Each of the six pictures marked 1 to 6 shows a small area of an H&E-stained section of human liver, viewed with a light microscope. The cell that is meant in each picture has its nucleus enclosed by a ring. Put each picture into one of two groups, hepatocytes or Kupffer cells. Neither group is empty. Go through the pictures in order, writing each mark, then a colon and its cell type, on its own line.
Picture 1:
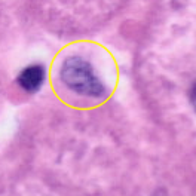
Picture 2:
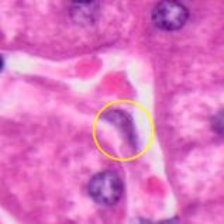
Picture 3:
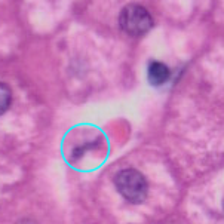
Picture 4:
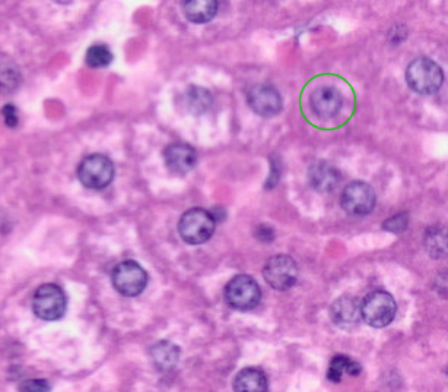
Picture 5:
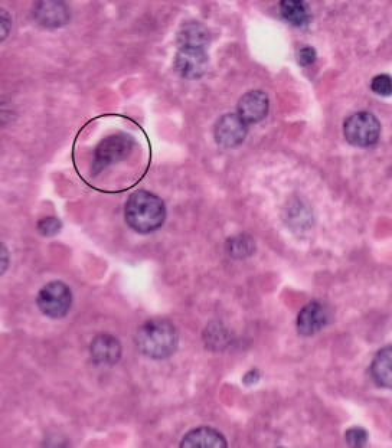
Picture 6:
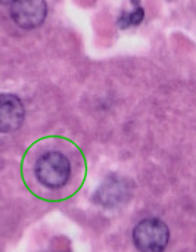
1: Kupffer cell
2: Kupffer cell
3: Kupffer cell
4: hepatocyte
5: Kupffer cell
6: hepatocyte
